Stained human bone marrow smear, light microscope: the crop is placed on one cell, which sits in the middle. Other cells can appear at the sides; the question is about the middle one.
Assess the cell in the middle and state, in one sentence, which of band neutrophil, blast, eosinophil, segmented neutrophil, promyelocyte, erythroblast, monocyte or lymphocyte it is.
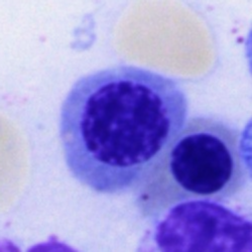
The middle position in this crop is taken by an erythroblast.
